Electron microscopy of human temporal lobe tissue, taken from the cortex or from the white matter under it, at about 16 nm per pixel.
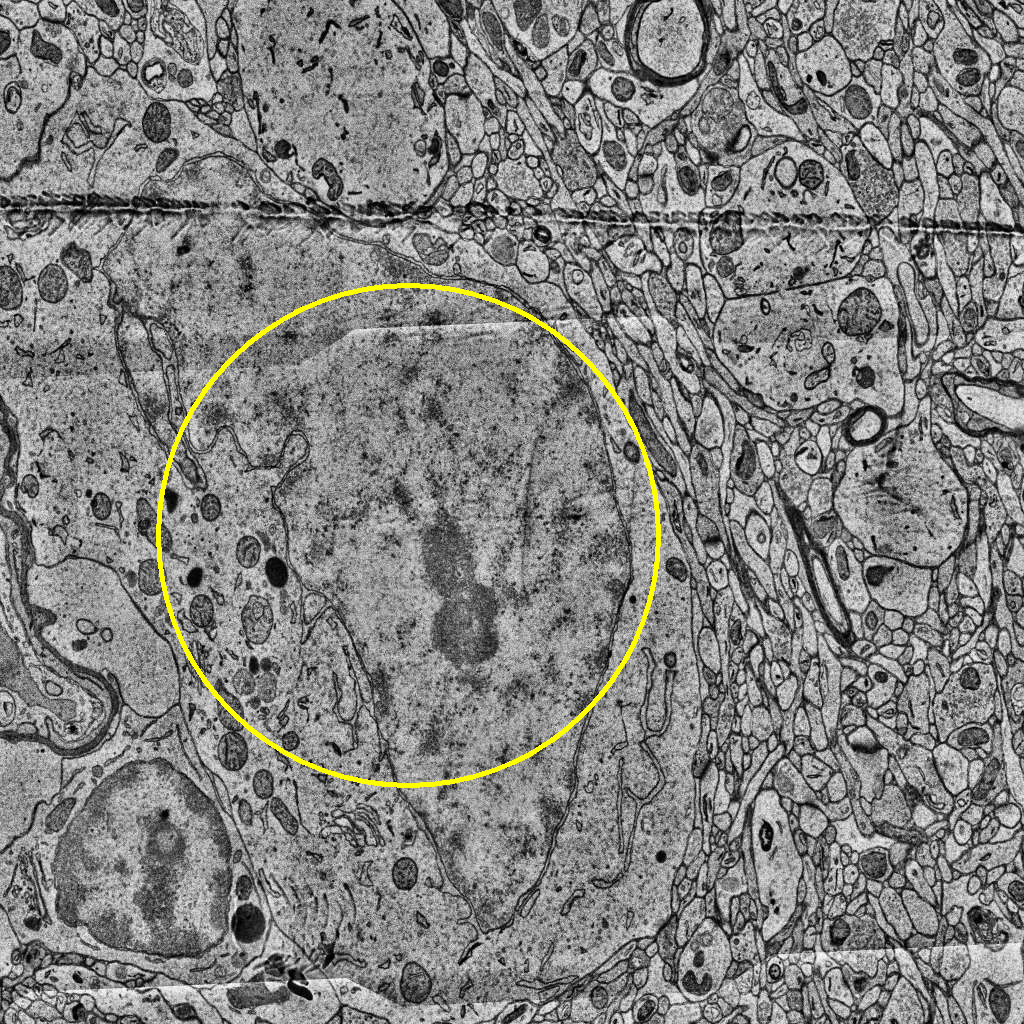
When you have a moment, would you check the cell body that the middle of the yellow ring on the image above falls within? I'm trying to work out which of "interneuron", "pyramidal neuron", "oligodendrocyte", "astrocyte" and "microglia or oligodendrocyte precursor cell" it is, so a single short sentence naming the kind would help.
This cell body belongs to an interneuron.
